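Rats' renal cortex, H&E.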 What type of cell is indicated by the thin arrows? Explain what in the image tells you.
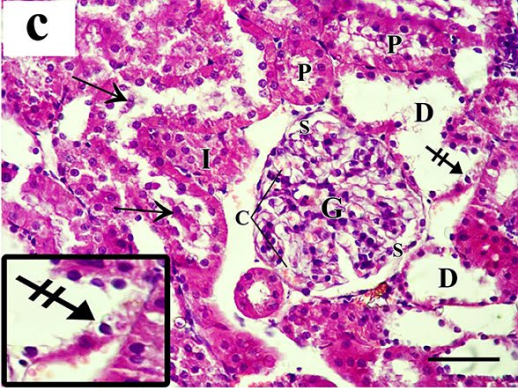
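The arrows point at cells lying detached within tubular lumina. Pink cellular material fills the lumen instead of lining the wall.
Conclusion: Desquamated cells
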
